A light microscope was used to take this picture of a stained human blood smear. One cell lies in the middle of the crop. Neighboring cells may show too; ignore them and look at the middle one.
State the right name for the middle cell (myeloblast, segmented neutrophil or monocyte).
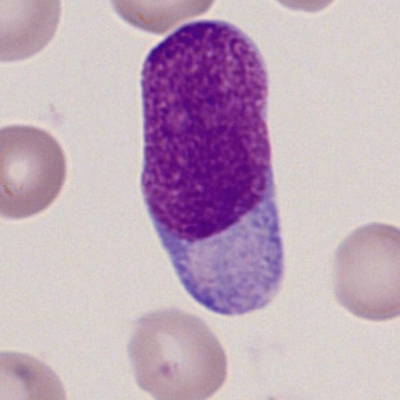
myeloblast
